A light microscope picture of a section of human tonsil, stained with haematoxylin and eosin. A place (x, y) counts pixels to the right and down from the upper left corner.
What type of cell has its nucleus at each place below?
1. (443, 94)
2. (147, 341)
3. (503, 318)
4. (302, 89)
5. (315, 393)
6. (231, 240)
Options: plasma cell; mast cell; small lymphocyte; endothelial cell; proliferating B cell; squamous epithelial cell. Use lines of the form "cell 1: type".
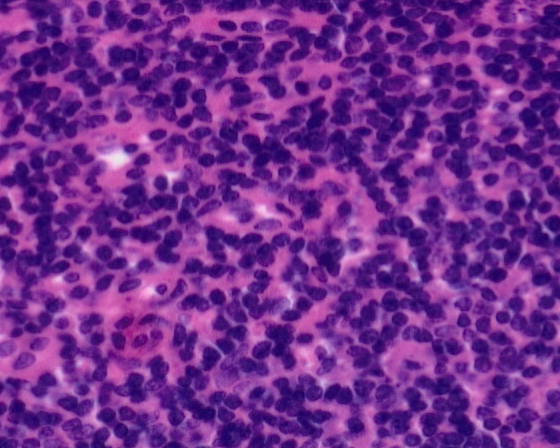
cell 1: small lymphocyte
cell 2: endothelial cell
cell 3: small lymphocyte
cell 4: endothelial cell
cell 5: small lymphocyte
cell 6: small lymphocyte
